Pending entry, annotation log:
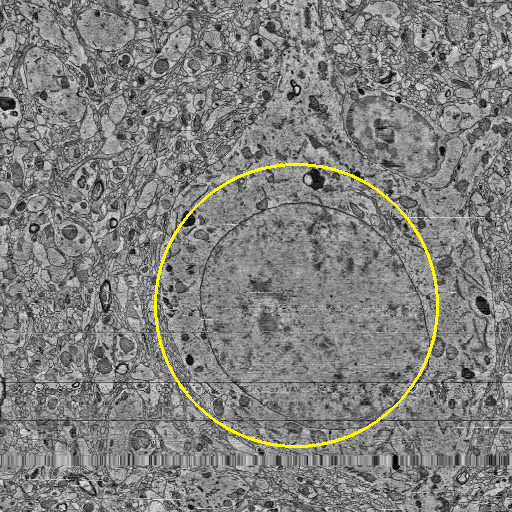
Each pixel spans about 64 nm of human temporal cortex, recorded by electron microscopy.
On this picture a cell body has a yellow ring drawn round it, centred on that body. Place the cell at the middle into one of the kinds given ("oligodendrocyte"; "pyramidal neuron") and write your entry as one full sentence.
The cell body at the middle of the yellow ring belongs to a pyramidal neuron.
